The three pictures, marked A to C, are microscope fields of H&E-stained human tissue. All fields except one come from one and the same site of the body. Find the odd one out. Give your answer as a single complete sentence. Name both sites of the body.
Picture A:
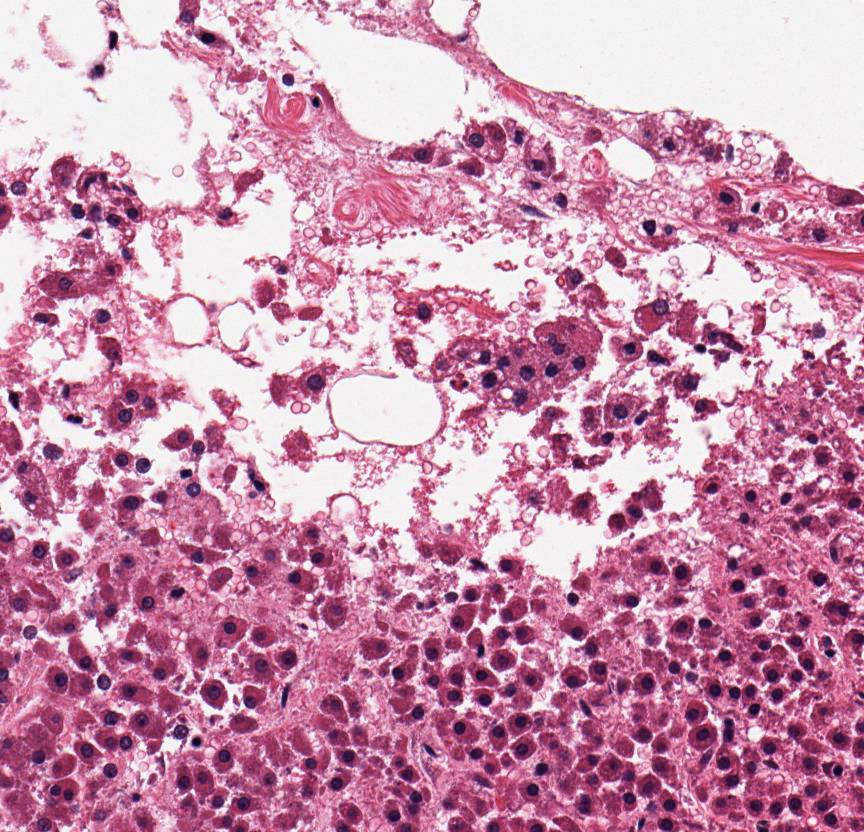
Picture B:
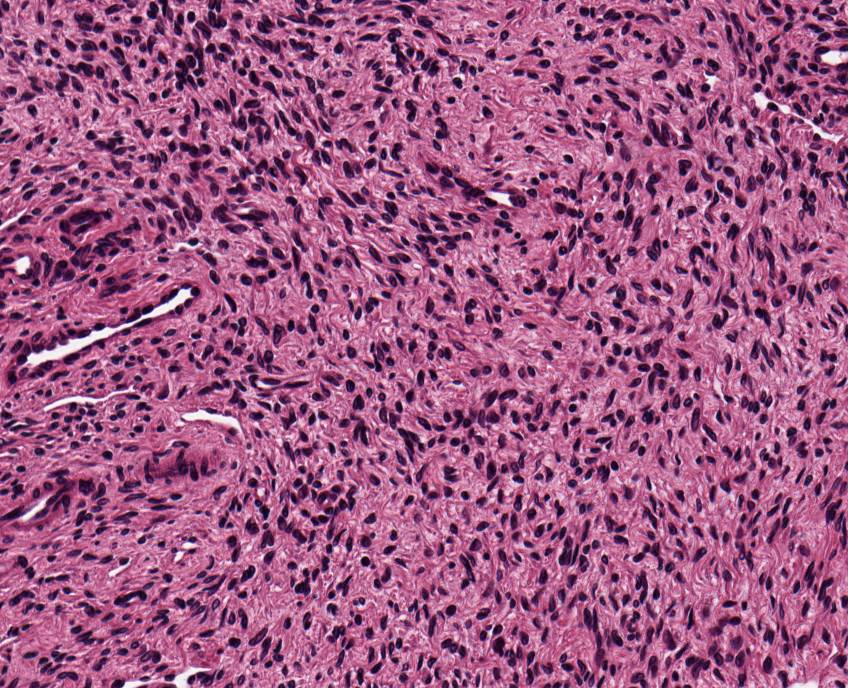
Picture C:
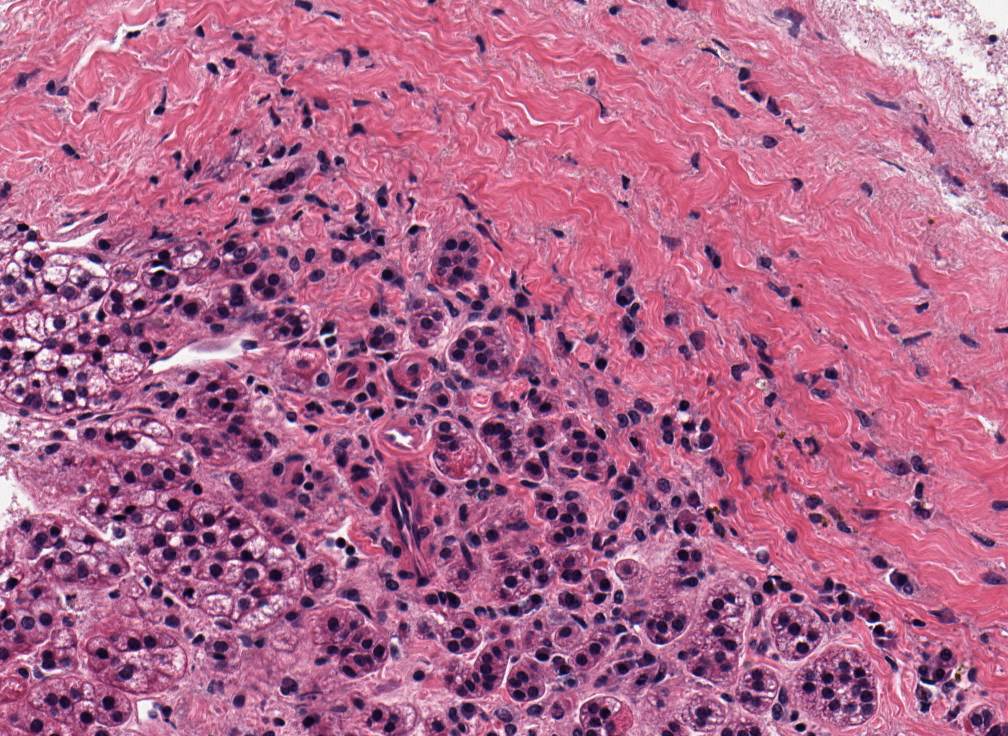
All pictures except B come from the adrenal gland; picture B comes from the ovary.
